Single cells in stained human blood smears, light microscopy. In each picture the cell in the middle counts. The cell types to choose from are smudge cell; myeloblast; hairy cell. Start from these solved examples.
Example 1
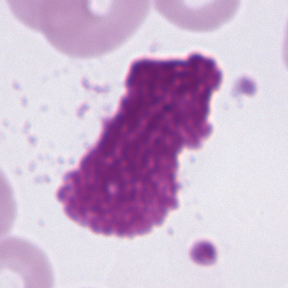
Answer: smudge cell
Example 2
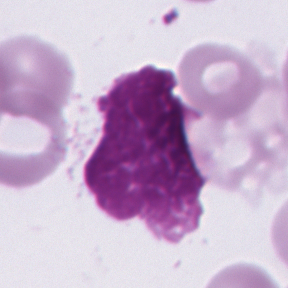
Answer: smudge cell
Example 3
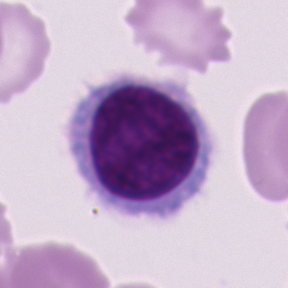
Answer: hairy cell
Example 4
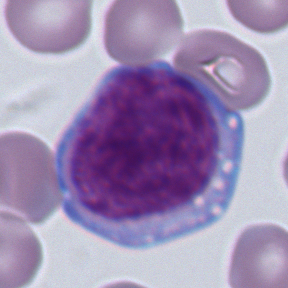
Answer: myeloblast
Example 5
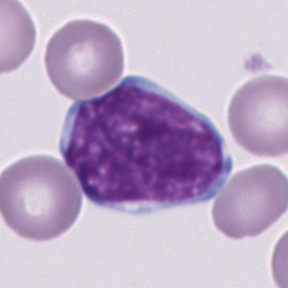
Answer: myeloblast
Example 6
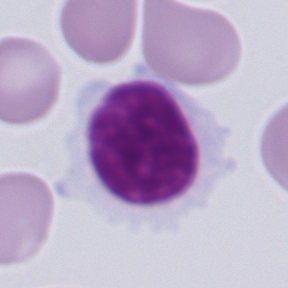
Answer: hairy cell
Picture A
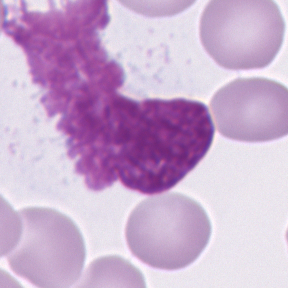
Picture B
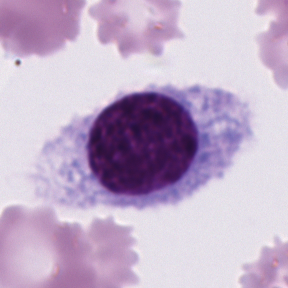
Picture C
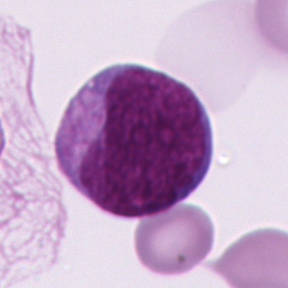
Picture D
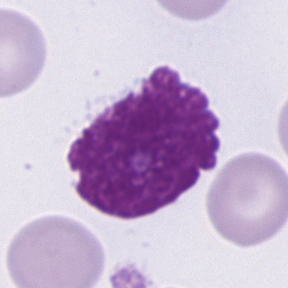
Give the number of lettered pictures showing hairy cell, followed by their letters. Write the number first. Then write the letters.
Count: 1 (B)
